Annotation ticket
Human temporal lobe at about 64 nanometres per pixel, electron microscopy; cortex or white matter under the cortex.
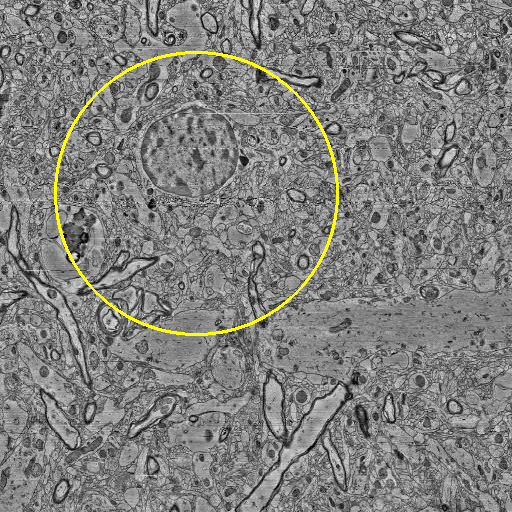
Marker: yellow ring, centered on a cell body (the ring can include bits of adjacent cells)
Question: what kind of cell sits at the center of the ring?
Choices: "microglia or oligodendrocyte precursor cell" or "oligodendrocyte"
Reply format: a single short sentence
The ring is centered on a microglial cell or oligodendrocyte precursor cell.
